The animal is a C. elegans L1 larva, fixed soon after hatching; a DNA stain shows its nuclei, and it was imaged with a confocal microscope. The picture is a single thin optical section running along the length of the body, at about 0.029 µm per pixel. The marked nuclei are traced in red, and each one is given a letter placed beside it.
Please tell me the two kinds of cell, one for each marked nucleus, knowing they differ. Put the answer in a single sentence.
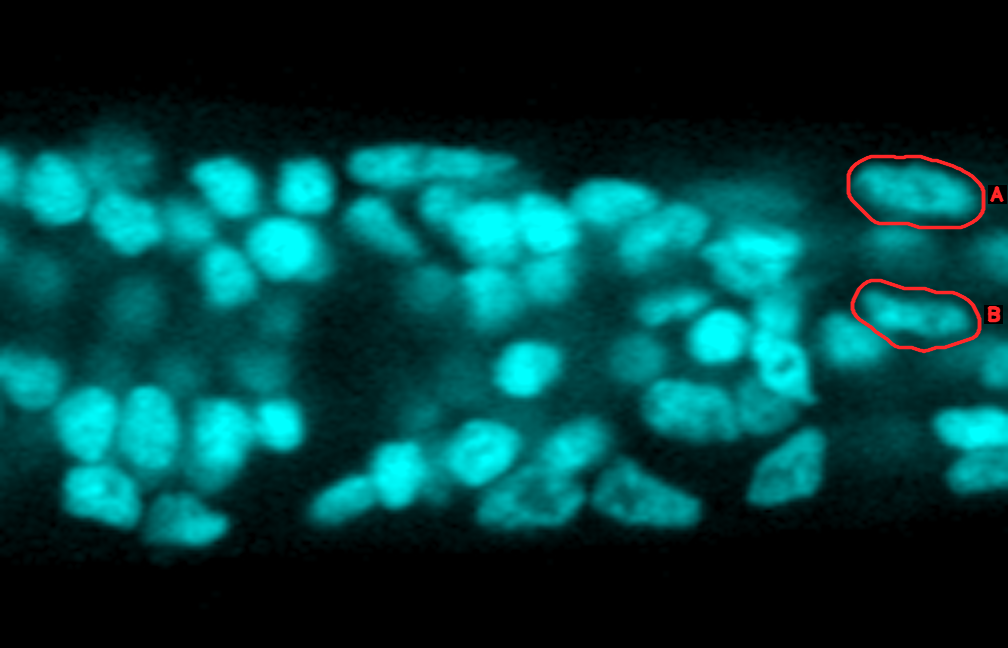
One is from a body wall muscle cell, namely A, and the other, B, is from a pharyngeal muscle cell.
